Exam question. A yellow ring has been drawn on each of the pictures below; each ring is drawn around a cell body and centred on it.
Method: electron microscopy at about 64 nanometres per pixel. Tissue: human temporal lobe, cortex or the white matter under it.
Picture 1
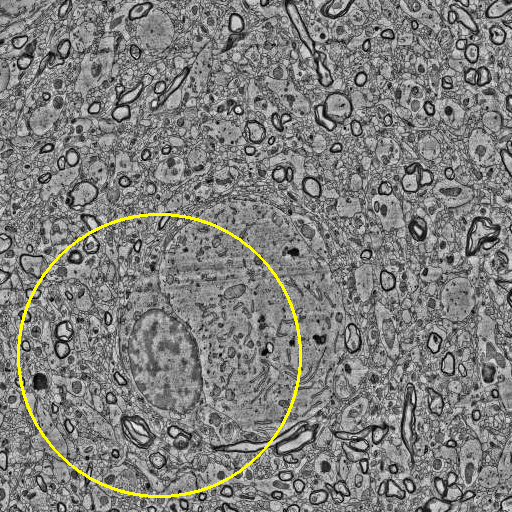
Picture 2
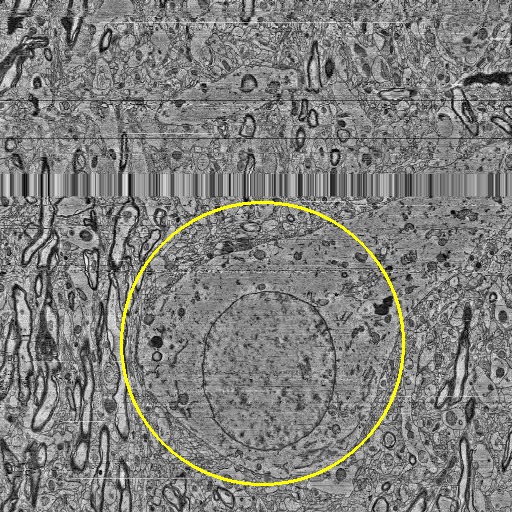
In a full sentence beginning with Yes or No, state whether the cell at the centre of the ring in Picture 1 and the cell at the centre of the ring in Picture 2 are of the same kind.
No, the cells are of two kinds.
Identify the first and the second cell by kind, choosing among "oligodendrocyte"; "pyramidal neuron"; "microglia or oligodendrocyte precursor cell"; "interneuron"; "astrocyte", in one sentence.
The one in the first picture is an oligodendrocyte, while the one in the second is a pyramidal neuron.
